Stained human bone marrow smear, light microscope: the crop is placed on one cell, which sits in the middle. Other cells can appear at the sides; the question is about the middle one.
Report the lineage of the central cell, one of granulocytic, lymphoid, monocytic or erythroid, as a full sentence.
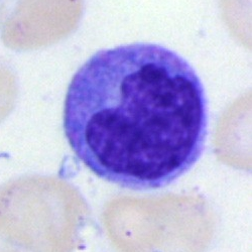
Designated monocytic in lineage is the cell at the center of the crop.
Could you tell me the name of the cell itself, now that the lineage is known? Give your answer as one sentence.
The cell featured at the centre of this crop is a monocyte.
